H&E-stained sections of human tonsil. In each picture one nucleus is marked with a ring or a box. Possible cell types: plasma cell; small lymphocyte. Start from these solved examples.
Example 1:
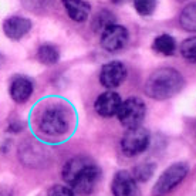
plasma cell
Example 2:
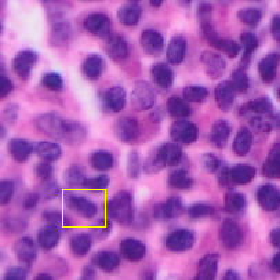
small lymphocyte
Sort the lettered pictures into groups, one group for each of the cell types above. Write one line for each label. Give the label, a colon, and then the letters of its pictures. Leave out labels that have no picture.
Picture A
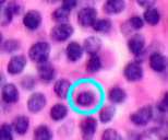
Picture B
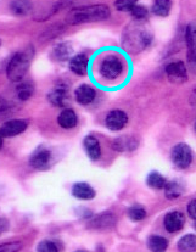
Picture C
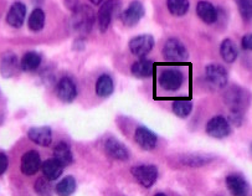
plasma cell: B, C
small lymphocyte: A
